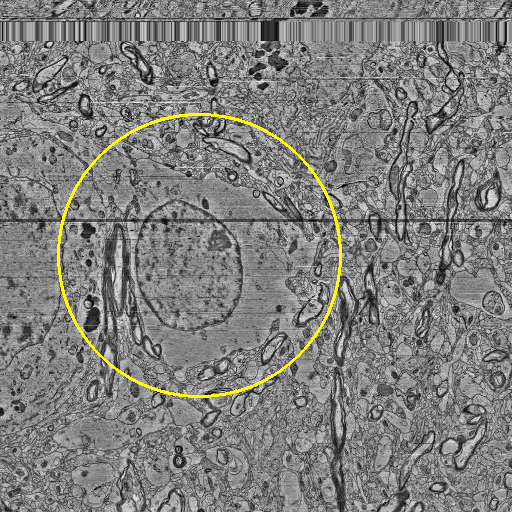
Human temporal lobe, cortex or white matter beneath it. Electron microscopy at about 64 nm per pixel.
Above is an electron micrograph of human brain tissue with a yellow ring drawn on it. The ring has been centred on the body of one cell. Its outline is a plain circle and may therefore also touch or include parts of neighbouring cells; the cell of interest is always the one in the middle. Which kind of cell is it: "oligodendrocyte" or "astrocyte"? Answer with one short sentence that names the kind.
The ring's central cell body is that of an astrocyte.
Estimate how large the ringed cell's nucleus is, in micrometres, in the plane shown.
In this plane the nucleus measures roughly 9 by 7 micrometers.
